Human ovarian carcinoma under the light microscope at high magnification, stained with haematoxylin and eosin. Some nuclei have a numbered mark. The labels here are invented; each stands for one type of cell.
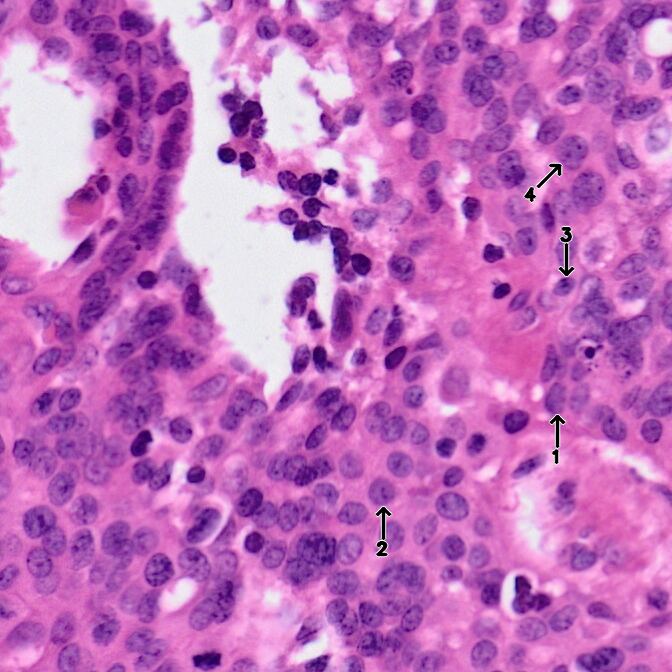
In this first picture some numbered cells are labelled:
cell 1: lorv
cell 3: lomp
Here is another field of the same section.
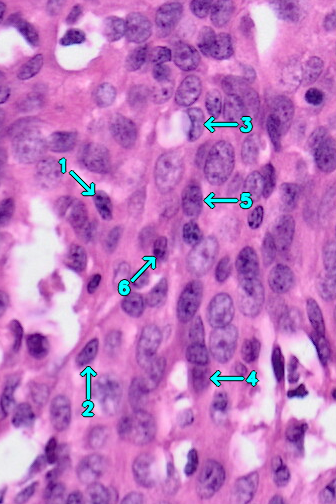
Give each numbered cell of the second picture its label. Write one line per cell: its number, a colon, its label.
1: lomp
2: lomp
3: lomp
4: lorv
5: lorv
6: lorv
